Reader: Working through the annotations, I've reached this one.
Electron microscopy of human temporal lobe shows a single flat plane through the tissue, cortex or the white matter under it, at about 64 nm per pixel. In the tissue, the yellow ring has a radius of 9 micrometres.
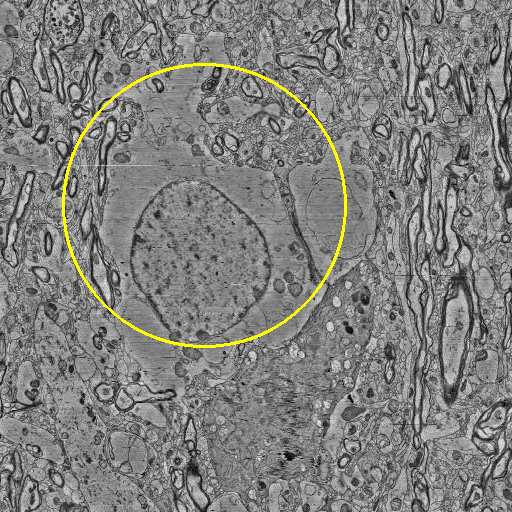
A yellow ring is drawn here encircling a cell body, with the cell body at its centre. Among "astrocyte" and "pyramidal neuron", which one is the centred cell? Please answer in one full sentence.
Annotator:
The cell body at the centre of the yellow ring in this image belongs to an astrocyte.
